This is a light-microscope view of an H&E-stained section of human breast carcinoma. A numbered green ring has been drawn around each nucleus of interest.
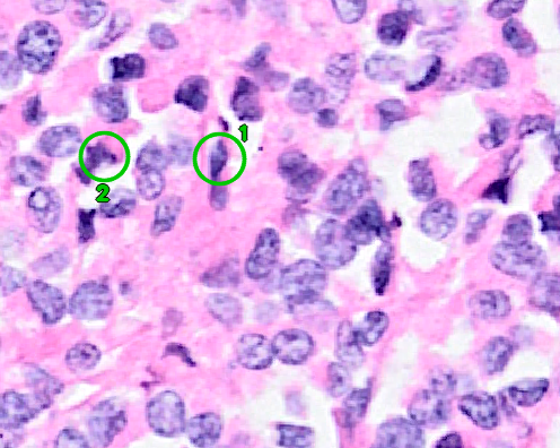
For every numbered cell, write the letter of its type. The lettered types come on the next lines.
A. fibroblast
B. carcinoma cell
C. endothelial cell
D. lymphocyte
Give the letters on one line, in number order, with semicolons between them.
C; B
